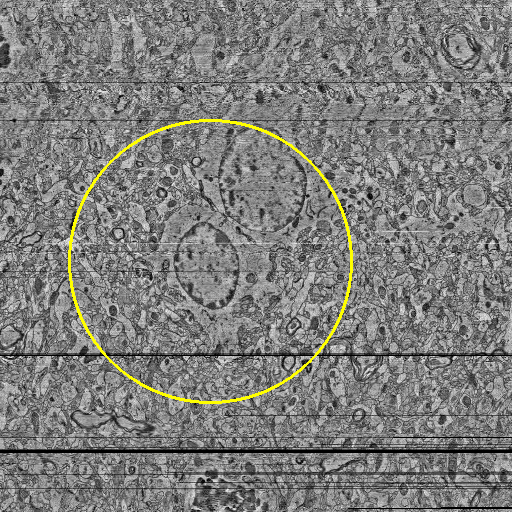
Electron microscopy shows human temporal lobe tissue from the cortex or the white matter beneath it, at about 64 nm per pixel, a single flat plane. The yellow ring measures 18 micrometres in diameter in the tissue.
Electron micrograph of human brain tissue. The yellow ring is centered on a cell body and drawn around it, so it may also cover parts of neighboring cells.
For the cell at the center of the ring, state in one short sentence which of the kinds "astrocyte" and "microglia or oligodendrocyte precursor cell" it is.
This ring is centered on an astrocyte.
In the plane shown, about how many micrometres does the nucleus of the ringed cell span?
The nucleus appears roughly 6 by 4 micrometres in this plane.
